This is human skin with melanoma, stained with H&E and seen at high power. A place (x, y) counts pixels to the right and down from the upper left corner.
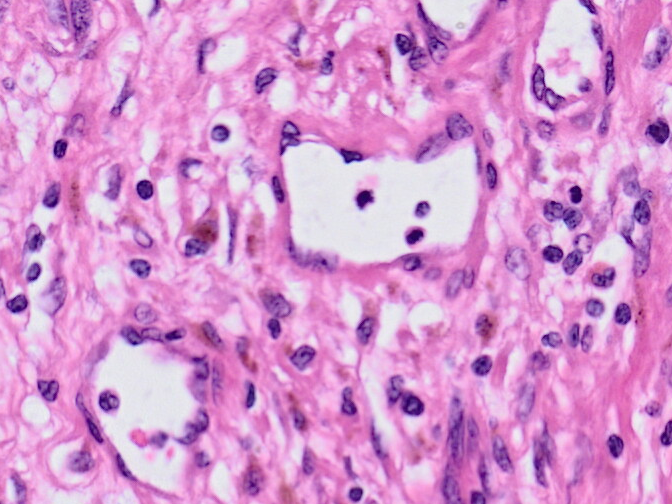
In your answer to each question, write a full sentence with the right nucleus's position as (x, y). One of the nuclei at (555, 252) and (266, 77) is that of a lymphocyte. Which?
It is the nucleus at (555, 252) that forms part of a lymphocyte.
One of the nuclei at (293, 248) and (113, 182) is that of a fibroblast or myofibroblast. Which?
At (113, 182) lies the nucleus that belongs to a fibroblast or myofibroblast.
